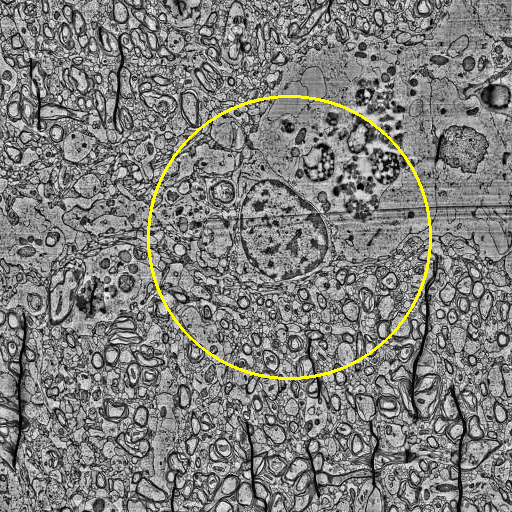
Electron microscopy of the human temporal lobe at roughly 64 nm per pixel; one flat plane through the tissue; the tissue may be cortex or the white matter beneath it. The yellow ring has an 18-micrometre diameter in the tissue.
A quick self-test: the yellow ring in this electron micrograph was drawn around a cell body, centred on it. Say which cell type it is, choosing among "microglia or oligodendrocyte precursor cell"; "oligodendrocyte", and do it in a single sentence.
The yellow-ringed cell is a microglial cell or oligodendrocyte precursor cell.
